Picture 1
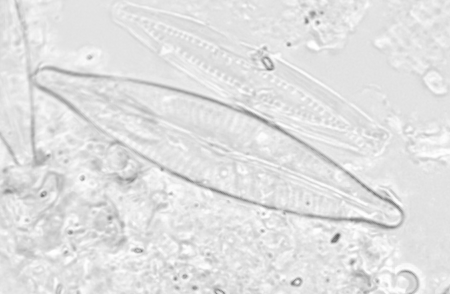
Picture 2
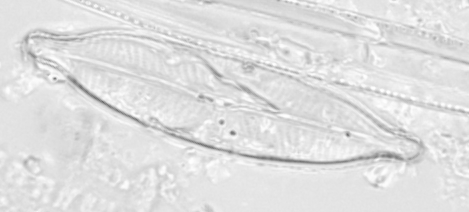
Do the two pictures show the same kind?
Yes, both are Navicula.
